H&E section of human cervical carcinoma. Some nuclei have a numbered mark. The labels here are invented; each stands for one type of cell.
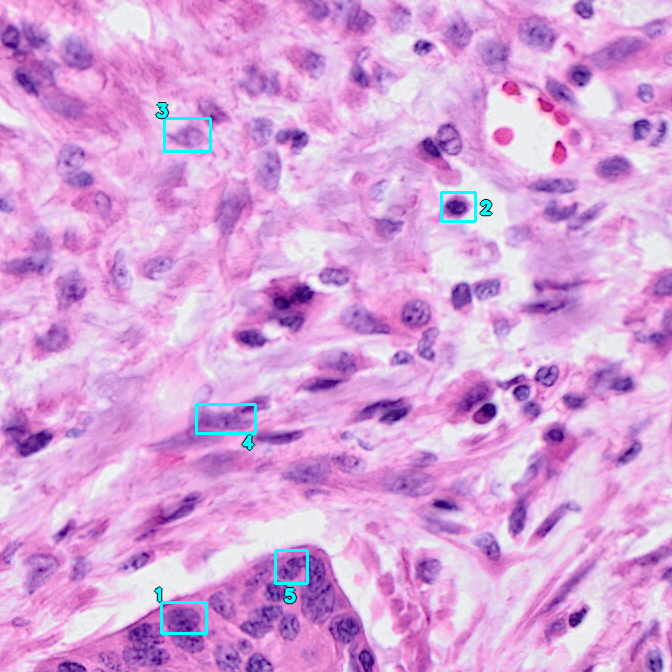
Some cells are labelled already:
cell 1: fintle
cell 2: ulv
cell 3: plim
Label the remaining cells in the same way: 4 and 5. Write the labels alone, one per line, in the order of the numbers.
plim
fintle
